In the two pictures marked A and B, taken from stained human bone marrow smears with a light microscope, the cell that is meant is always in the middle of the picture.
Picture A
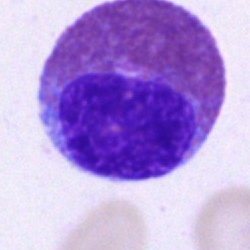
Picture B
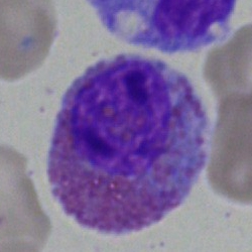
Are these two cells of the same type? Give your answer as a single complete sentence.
Yes, they are the same type: both are eosinophils.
